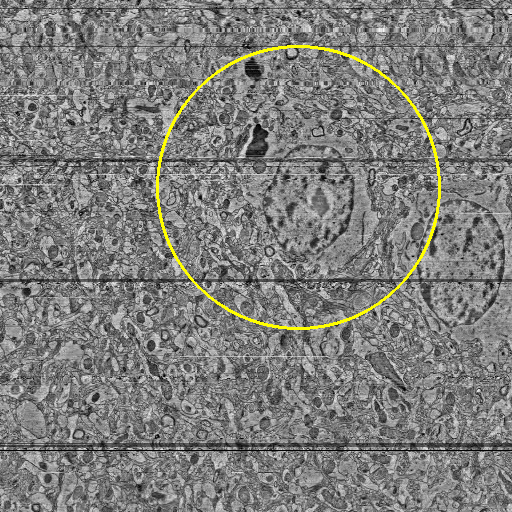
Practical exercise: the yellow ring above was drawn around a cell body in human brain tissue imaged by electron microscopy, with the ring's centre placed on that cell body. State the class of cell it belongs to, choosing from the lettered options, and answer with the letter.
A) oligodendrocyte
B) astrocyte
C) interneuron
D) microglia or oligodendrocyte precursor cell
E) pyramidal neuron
B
